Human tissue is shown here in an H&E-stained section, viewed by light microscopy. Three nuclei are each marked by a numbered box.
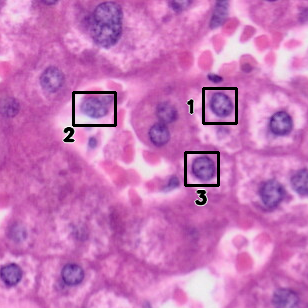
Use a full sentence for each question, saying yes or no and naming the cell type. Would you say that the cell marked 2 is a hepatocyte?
No, what number 2 shows is a Kupffer cell, not a hepatocyte.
